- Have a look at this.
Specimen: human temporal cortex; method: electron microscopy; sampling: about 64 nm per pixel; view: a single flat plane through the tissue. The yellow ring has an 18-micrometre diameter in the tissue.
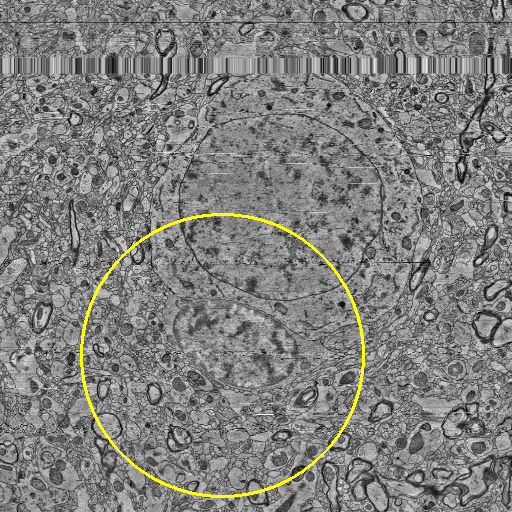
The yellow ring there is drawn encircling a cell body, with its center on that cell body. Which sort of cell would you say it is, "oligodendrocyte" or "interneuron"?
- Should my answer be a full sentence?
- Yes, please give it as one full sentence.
For this picture, an oligodendrocyte is the cell where the yellow ring has its center.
